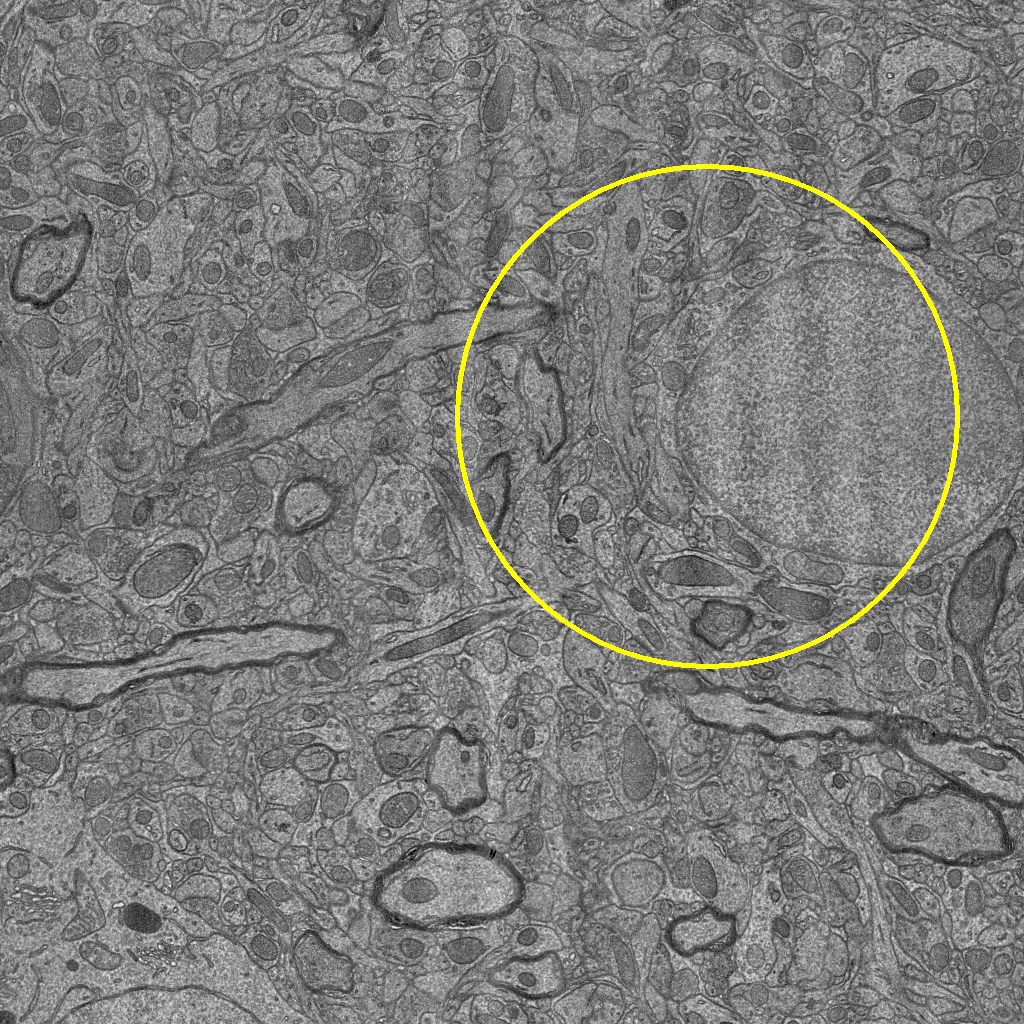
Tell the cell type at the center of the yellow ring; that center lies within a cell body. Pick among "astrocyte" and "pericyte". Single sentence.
The ring's center lies in the body of an astrocyte.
